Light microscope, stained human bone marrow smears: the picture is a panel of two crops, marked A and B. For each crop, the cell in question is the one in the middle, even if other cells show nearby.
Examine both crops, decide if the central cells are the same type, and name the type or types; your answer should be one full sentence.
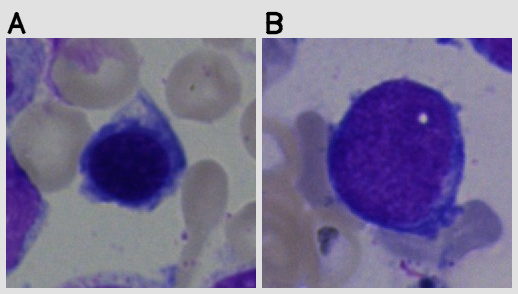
No, crop A captures an erythroblast; meanwhile crop B captures a blast.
